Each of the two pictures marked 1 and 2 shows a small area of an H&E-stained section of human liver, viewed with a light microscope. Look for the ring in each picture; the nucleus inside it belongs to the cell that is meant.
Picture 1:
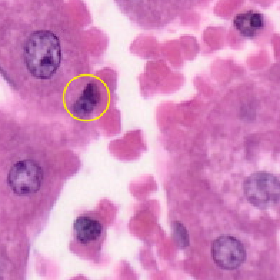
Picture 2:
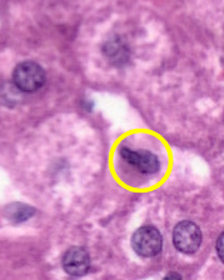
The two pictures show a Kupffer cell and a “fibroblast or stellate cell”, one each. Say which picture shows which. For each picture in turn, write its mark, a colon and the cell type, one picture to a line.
1: fibroblast or stellate cell
2: Kupffer cell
